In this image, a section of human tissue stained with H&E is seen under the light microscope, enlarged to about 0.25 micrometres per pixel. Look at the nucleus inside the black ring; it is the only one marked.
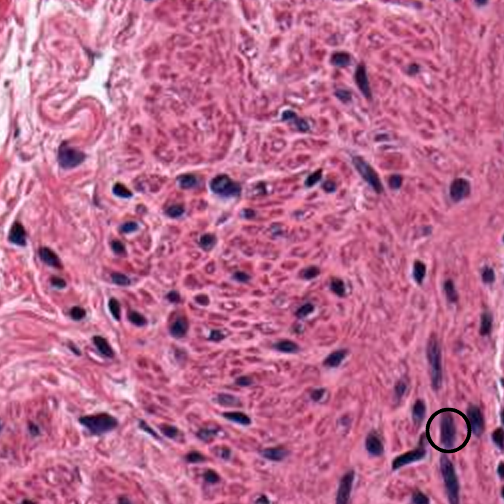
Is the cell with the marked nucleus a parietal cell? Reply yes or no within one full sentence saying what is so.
No, in this section the marked nucleus does not belong to a parietal cell.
